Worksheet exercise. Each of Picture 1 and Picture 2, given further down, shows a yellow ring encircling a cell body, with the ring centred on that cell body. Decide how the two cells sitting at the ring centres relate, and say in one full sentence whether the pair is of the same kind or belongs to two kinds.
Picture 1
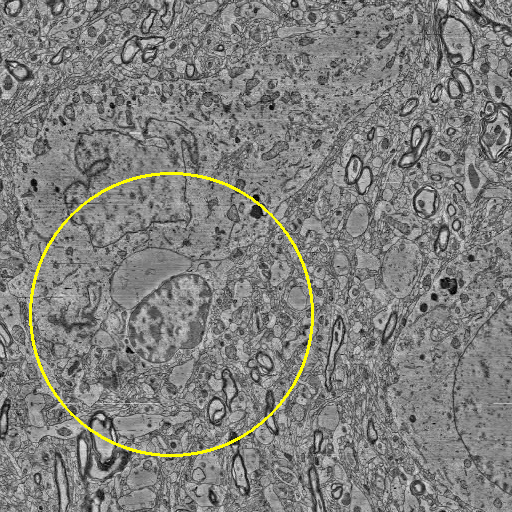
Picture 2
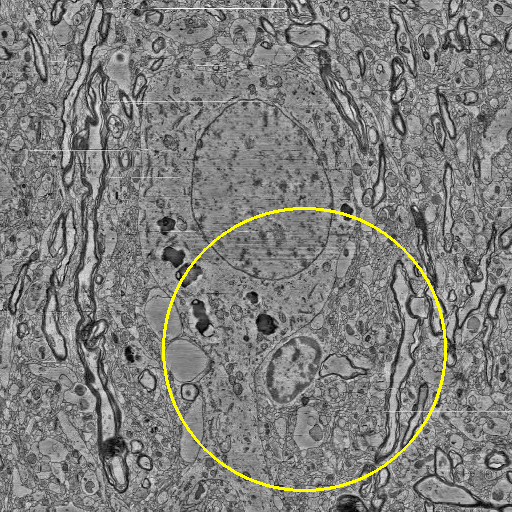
The cells at the ring centres in Picture 1 and Picture 2 are of the same kind.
